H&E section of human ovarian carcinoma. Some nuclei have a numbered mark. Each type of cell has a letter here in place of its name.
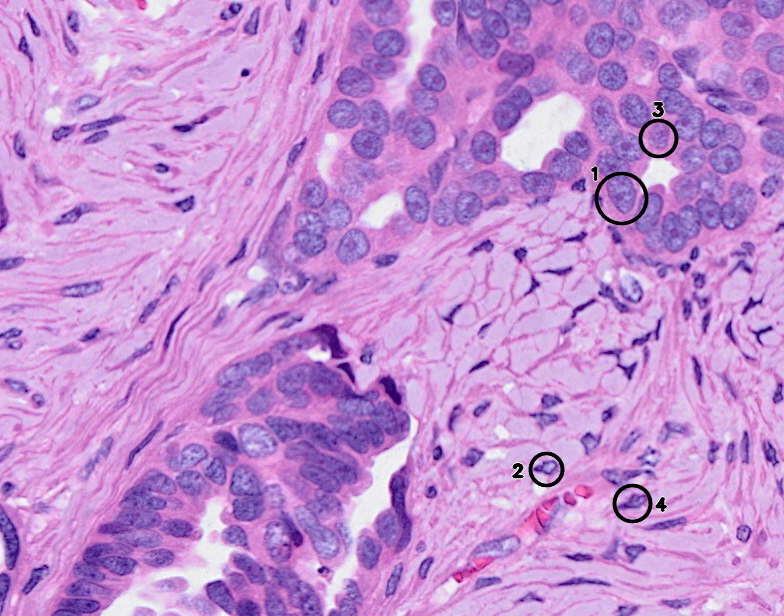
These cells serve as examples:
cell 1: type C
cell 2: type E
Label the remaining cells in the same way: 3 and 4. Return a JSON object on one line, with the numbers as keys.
{"3": "type C", "4": "type E"}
